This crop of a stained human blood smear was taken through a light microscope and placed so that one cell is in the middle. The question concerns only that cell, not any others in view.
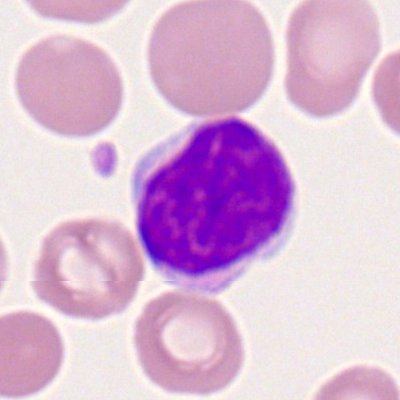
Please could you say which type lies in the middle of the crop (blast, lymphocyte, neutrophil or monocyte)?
lymphocyte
